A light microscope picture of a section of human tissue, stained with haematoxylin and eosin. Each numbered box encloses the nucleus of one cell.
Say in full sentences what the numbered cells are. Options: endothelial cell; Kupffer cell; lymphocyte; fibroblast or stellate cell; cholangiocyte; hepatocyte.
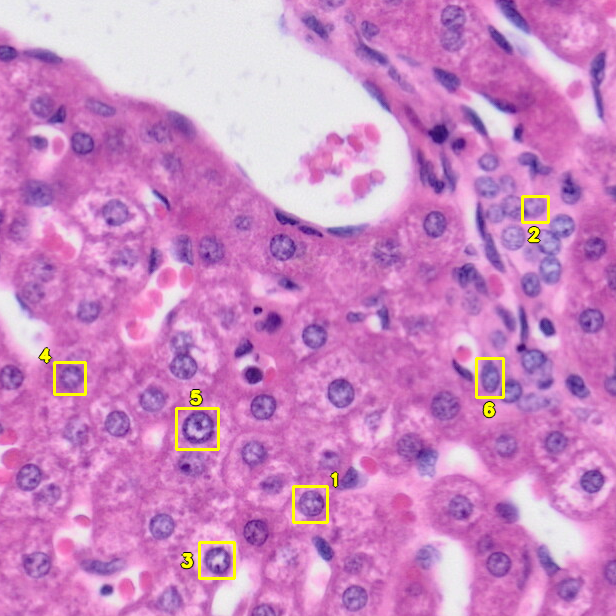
Cells 1, 3, 4 and 5 are hepatocytes. Cells 2 and 6 are cholangiocytes.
